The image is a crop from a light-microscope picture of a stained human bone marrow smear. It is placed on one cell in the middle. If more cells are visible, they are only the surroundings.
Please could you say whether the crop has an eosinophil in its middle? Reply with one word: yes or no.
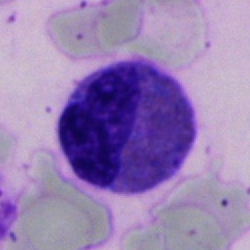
yes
